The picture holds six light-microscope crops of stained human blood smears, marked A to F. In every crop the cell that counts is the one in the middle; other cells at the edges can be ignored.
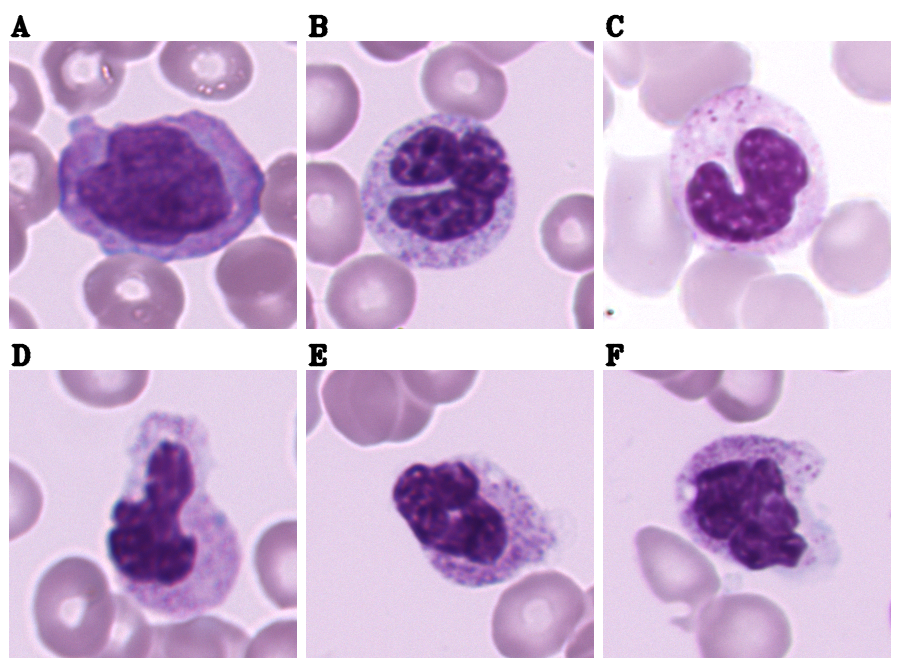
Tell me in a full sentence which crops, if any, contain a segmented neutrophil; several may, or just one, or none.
In the series, crops B, D, E and F show segmented neutrophils.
